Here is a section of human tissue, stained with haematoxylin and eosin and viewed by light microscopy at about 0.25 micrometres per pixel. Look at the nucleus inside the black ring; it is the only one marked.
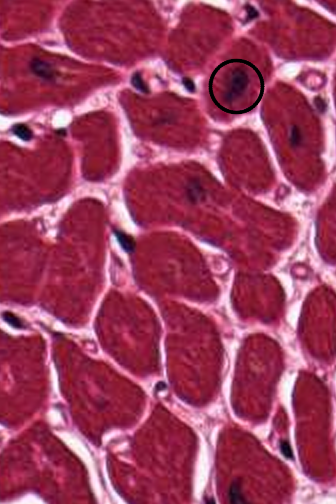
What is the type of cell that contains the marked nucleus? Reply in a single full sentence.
Within a cardiomyocyte lies the marked nucleus.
